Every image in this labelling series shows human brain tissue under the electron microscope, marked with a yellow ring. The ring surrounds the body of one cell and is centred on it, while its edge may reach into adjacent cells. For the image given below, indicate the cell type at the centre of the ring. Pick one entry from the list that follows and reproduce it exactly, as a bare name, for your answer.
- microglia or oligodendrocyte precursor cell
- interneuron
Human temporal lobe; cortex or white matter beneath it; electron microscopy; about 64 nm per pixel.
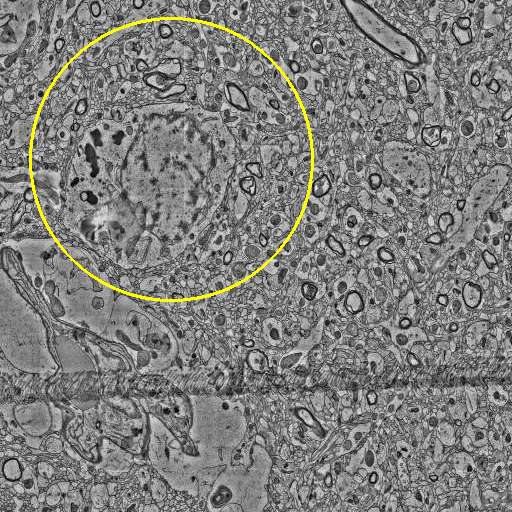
interneuron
